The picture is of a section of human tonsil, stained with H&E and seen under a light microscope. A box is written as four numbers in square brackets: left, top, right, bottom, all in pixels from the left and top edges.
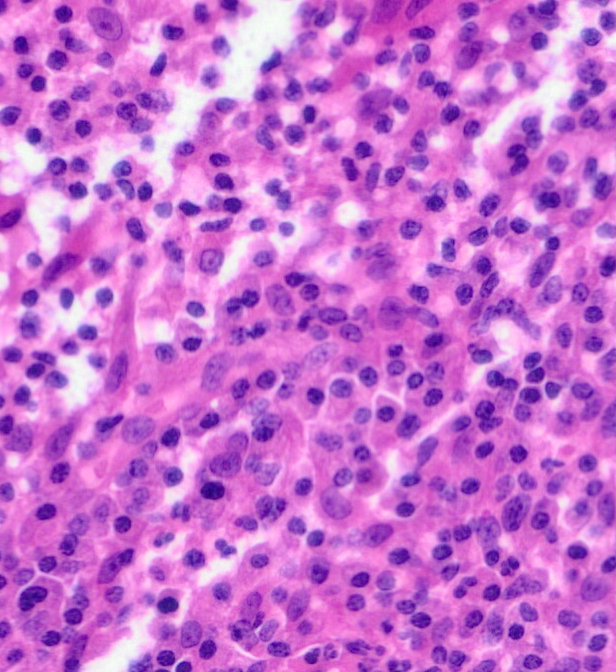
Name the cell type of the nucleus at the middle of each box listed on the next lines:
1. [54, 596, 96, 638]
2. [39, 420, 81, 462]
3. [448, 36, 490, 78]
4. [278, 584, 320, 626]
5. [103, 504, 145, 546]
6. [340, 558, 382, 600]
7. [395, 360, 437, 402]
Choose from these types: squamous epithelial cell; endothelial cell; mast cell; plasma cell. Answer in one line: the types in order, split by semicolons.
plasma cell; squamous epithelial cell; squamous epithelial cell; squamous epithelial cell; plasma cell; plasma cell; plasma cell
